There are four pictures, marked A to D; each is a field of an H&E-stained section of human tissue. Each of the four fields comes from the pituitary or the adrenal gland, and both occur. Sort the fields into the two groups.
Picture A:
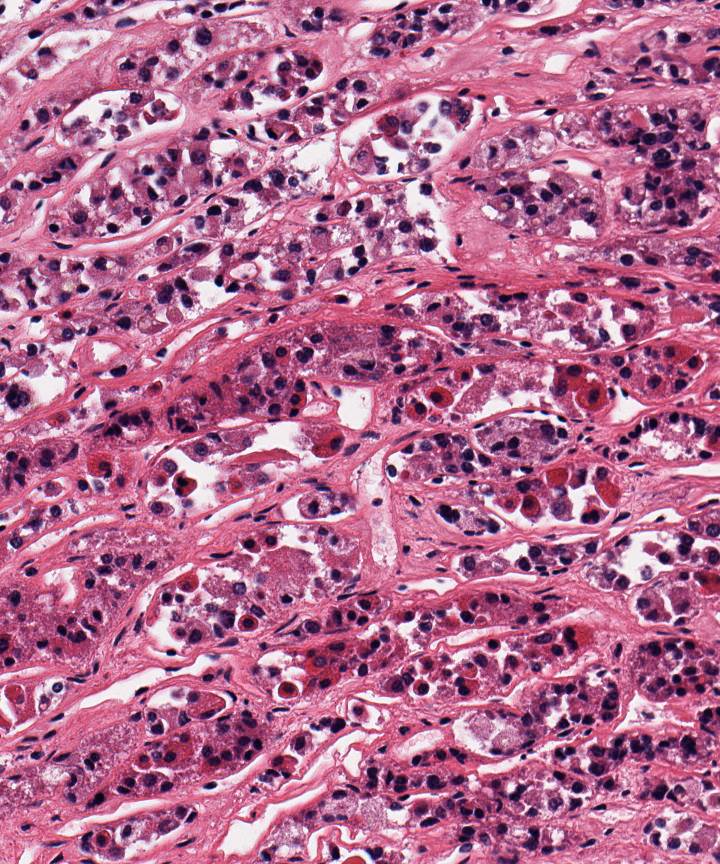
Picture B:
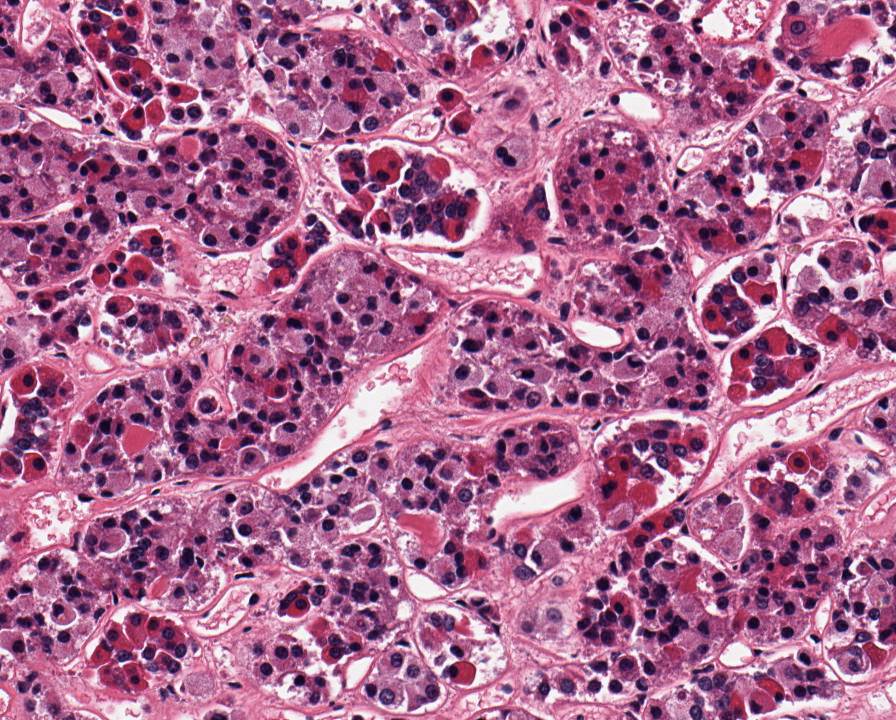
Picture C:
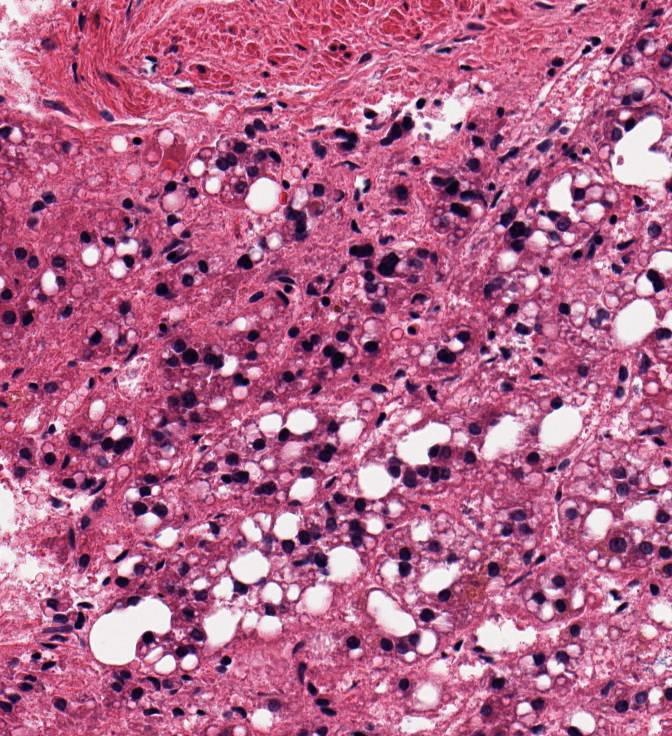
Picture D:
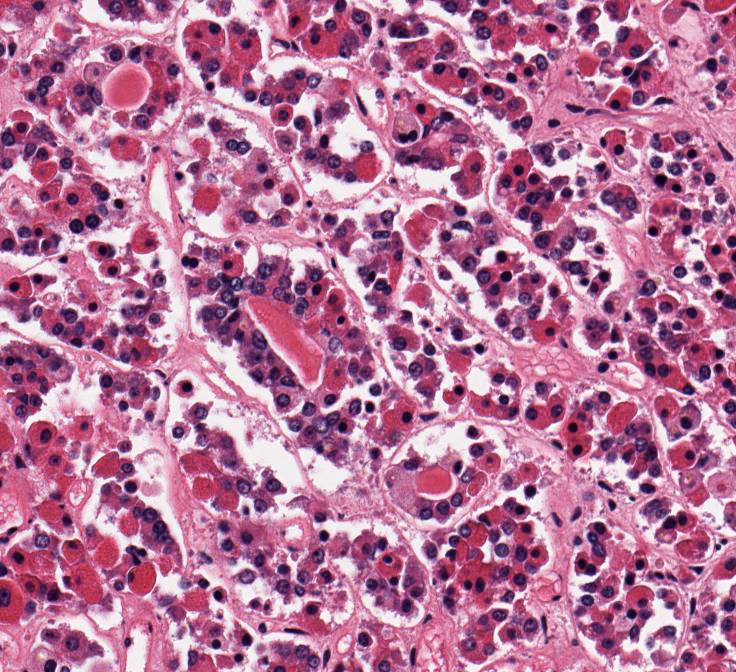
A: pituitary
B: pituitary
C: adrenal gland
D: pituitary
